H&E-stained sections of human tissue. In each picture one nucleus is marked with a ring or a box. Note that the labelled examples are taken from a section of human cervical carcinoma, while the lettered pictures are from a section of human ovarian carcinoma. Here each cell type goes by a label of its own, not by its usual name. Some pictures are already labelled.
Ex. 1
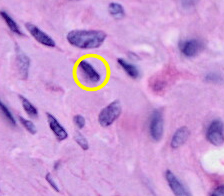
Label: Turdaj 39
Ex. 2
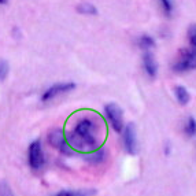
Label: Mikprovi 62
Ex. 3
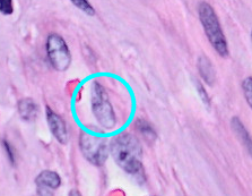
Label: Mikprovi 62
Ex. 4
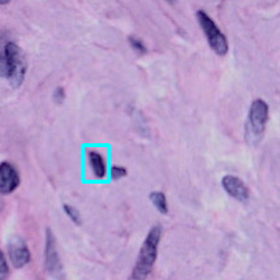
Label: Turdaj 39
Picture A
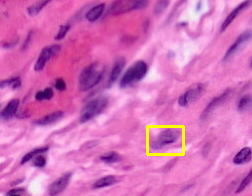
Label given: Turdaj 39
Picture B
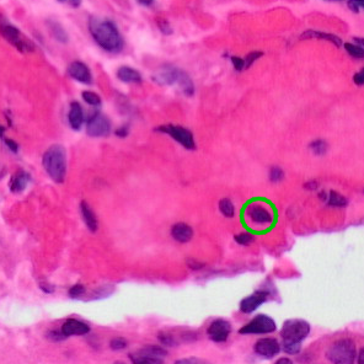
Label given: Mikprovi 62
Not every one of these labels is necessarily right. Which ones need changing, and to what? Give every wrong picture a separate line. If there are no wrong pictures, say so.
All correct.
